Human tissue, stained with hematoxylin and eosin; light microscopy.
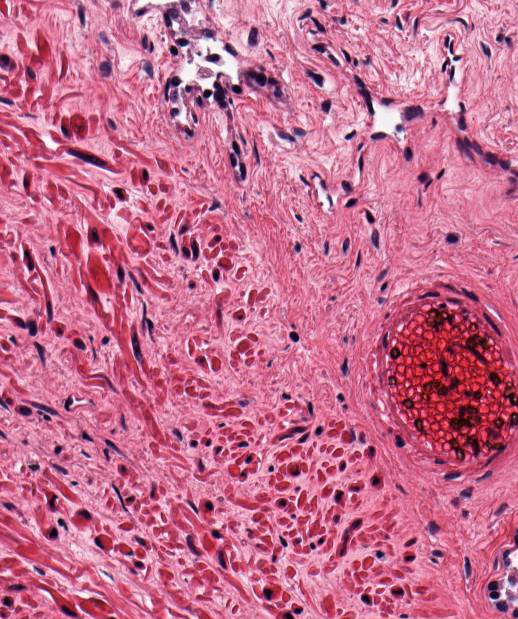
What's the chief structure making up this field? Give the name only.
fibromuscular stroma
